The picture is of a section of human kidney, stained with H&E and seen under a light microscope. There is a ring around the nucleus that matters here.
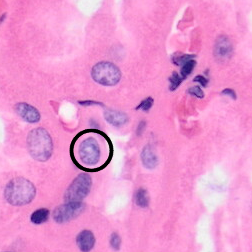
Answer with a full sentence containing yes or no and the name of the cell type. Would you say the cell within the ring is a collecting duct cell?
Yes, the cell within the ring is, by its type, a collecting duct cell.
